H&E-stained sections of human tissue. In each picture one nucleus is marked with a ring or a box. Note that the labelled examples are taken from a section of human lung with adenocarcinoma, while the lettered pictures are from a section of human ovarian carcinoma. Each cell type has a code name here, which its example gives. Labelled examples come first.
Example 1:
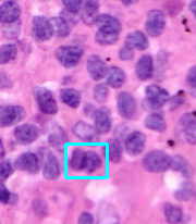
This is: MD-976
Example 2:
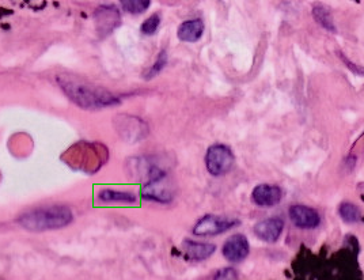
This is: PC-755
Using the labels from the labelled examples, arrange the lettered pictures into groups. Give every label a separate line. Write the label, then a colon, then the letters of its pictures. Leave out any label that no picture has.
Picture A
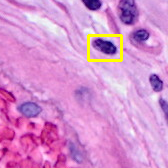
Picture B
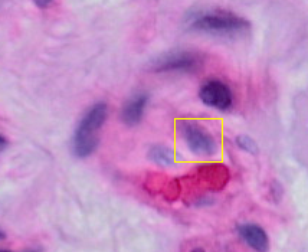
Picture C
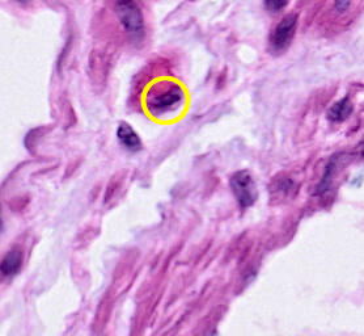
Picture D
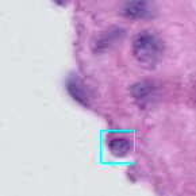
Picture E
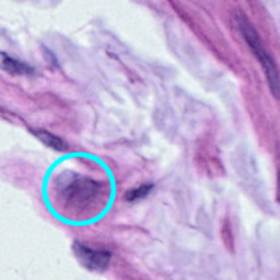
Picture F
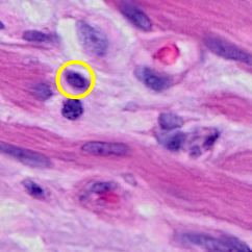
MD-976: A, F
PC-755: B, C, D, E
